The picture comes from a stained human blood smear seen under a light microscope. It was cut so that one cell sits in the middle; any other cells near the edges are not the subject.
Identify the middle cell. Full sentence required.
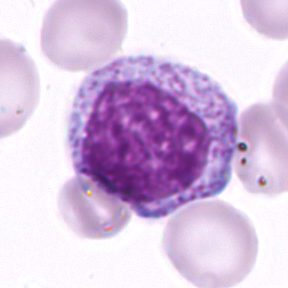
Where the crop is centred, there is a myelocyte.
